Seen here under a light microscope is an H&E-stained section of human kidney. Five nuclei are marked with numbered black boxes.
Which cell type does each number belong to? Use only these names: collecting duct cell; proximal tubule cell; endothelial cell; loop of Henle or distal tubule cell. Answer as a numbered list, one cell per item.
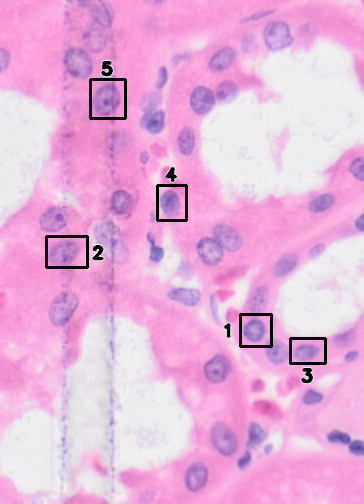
1. collecting duct cell
2. proximal tubule cell
3. collecting duct cell
4. endothelial cell
5. proximal tubule cell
